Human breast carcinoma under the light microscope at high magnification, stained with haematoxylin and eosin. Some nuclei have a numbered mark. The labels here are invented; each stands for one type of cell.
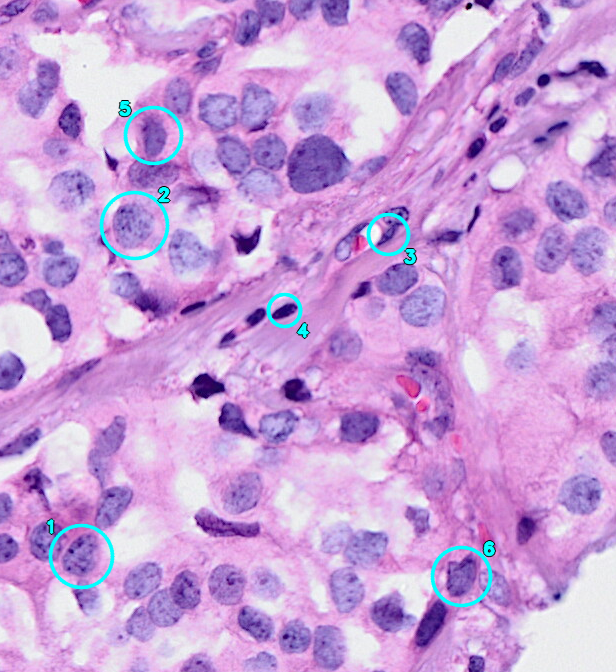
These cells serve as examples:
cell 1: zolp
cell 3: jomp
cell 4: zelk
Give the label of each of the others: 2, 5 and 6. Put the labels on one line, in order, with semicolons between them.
zolp; zolp; zolp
